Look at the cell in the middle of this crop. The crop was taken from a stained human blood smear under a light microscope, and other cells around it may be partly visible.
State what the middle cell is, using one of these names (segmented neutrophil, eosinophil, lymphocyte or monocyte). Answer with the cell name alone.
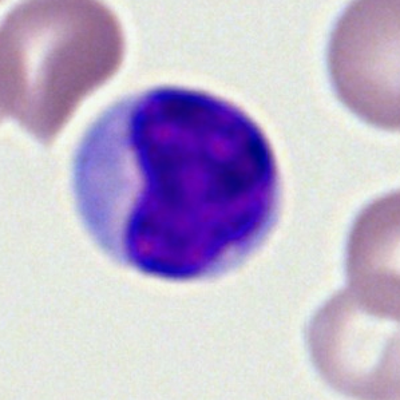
lymphocyte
